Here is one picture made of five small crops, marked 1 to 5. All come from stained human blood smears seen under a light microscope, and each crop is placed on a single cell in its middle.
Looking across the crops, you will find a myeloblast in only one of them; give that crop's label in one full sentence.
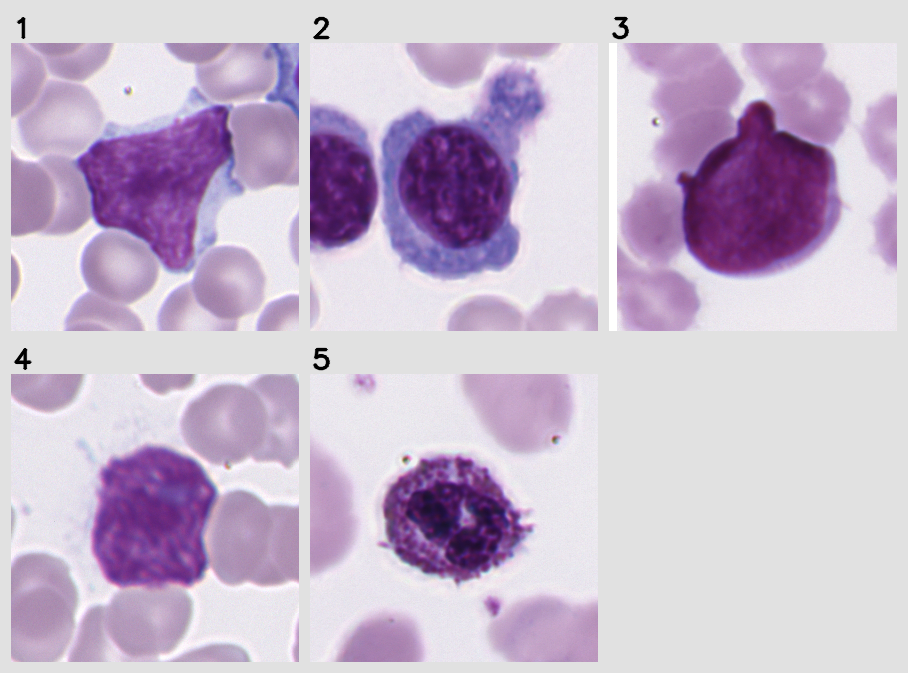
Crop 3 is the crop in which a myeloblast is shown.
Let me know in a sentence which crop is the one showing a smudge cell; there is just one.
The crop marked 4 is the one that shows a smudge cell.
